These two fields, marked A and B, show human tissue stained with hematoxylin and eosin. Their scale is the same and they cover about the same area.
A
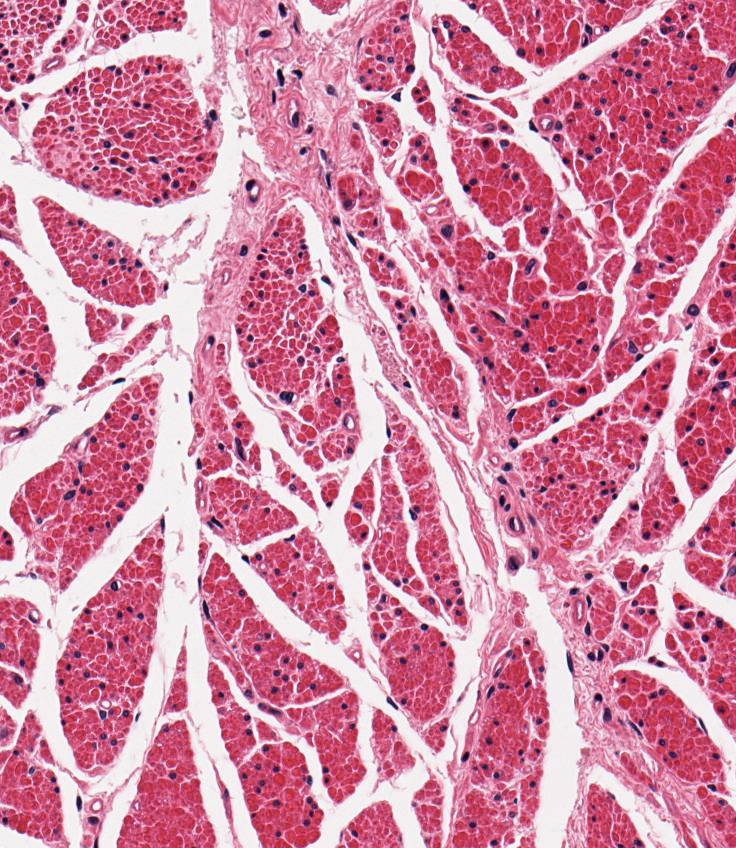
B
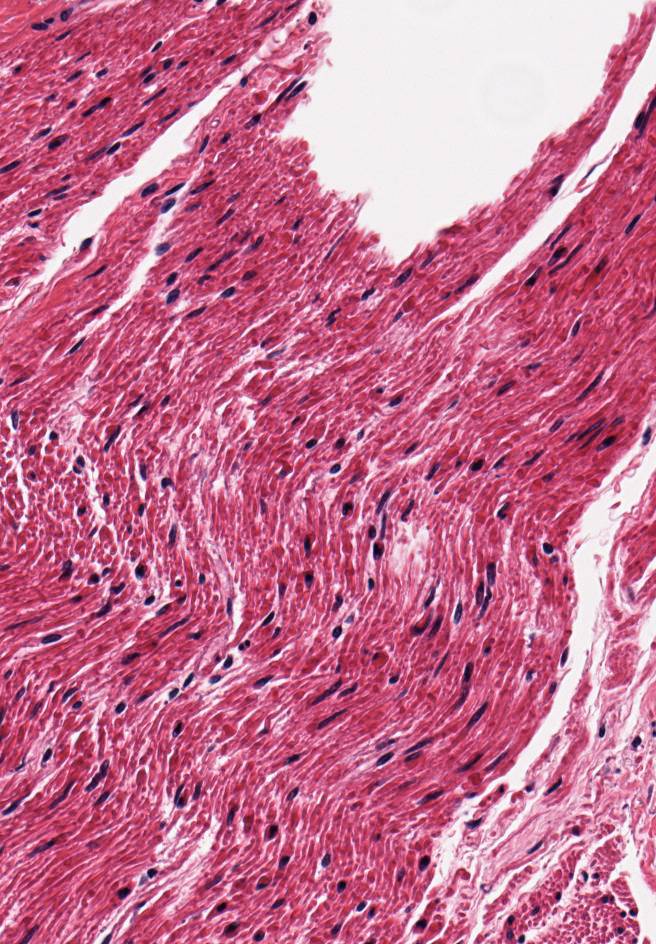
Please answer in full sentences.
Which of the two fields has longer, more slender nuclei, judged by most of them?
The nuclei are more elongated in field B.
